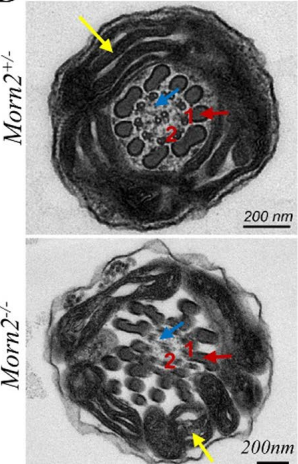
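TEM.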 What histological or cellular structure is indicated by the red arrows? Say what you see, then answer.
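Outer dense fiber. The arrows point to large dense dark bodies encircling the central axoneme.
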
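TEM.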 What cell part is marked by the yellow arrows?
Mitochondrial sheath.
